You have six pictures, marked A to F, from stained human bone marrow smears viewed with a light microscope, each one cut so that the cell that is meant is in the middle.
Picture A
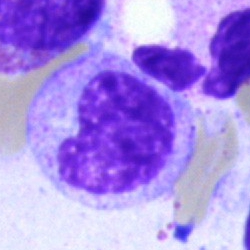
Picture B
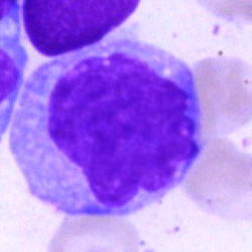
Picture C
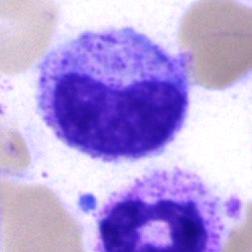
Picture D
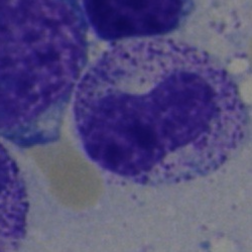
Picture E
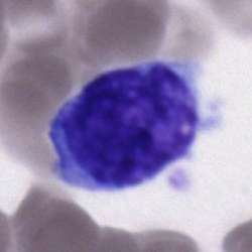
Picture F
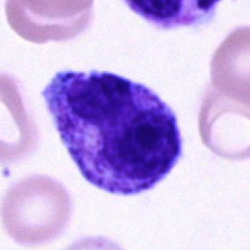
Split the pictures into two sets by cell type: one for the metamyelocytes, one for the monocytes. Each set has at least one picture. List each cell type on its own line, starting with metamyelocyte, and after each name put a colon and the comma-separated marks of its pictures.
metamyelocyte: A, C, D, F
monocyte: B, E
